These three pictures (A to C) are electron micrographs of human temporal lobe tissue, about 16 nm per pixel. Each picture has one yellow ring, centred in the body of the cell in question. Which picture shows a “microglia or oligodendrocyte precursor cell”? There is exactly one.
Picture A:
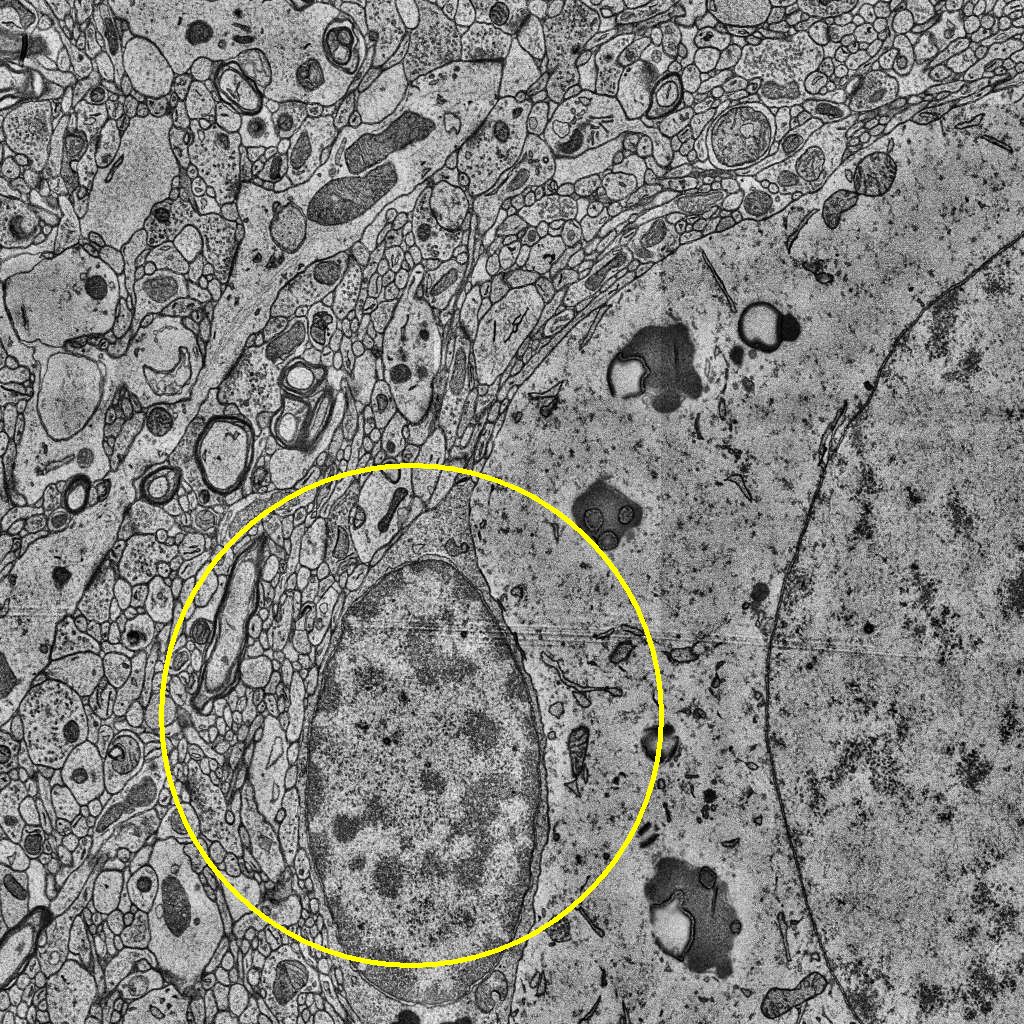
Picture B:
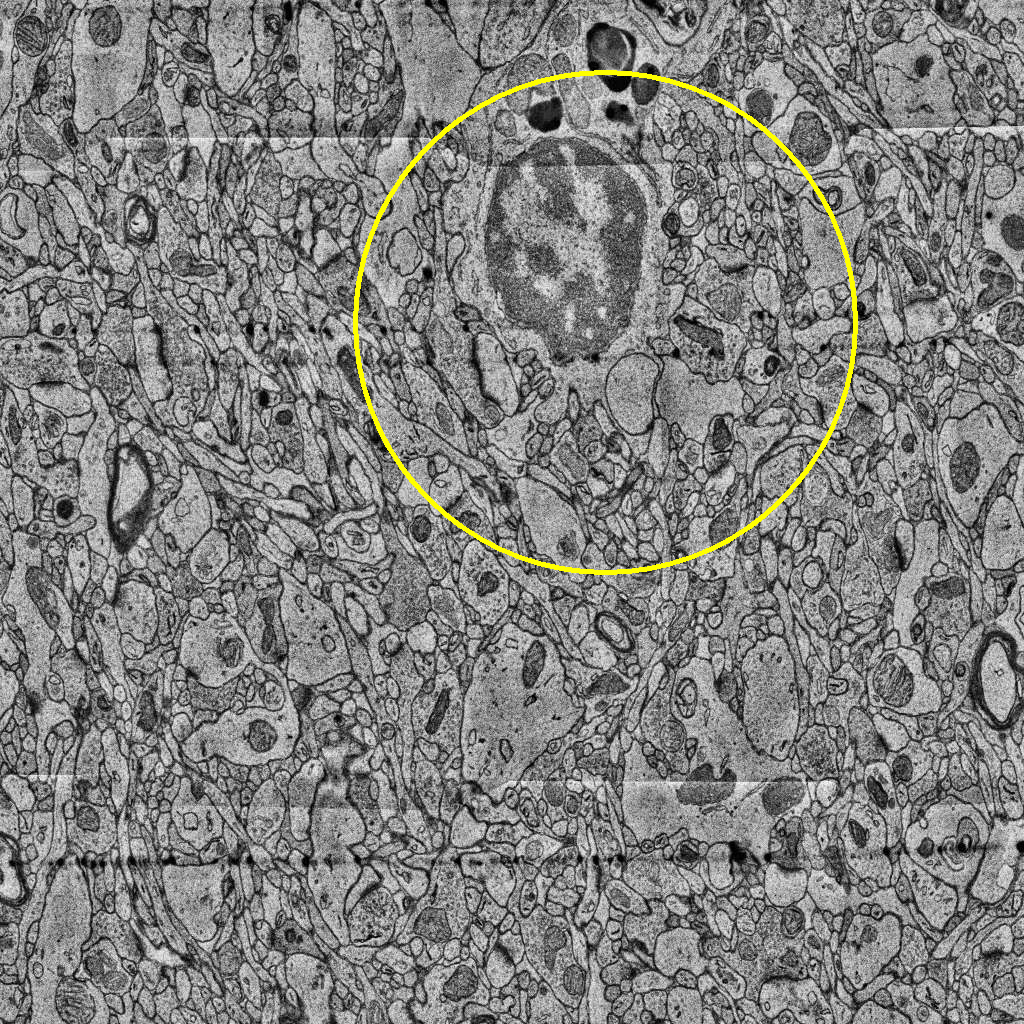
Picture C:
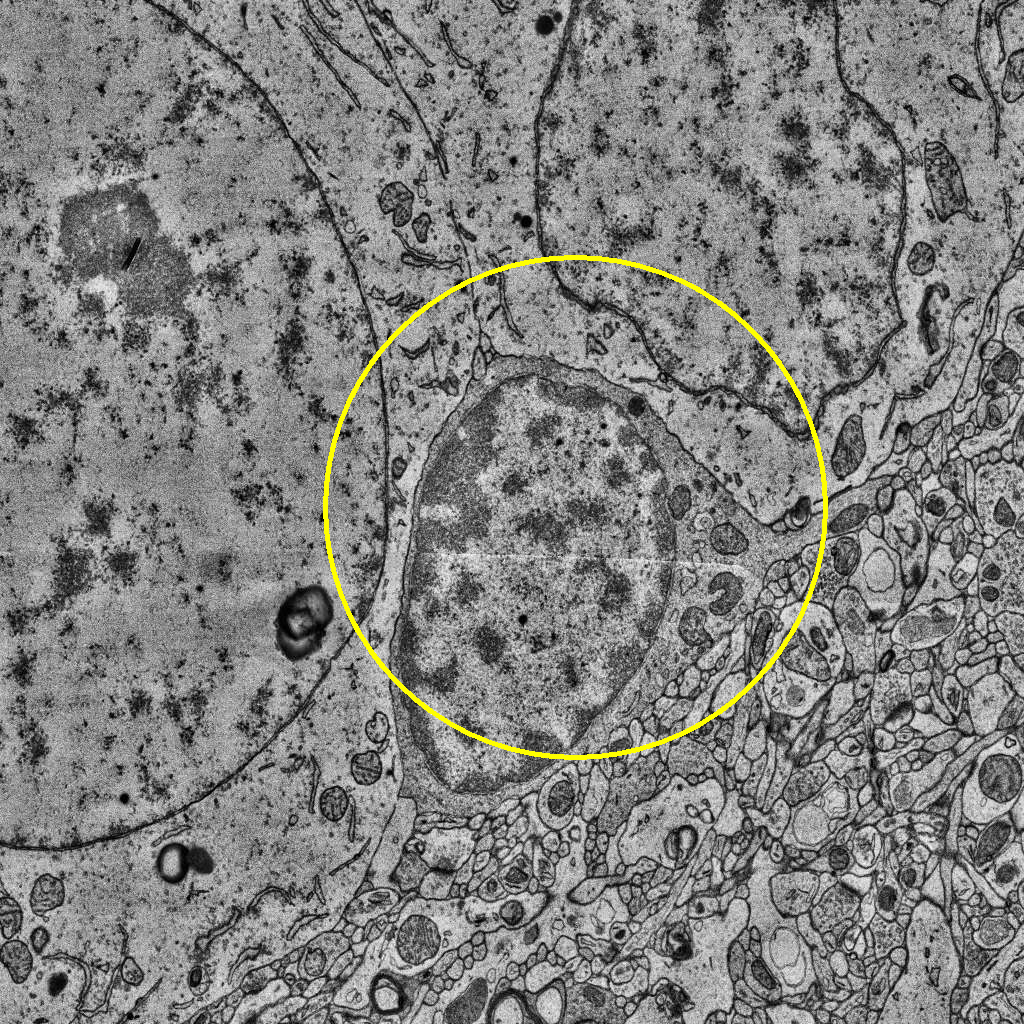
Picture B shows the “microglia or oligodendrocyte precursor cell”.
